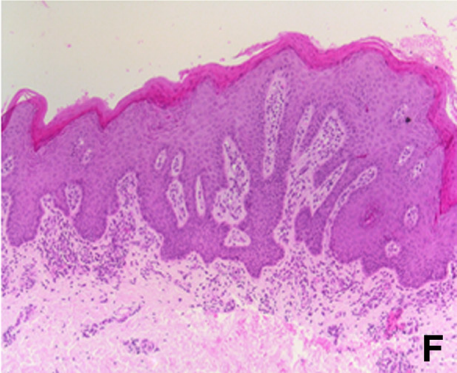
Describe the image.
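This is a section of skin in which the epidermis is greatly thickened and stained deep purple-pink. A dense pink horny layer with an irregular surface covers it. Broad rete ridges extend down into the dermis, separated by narrow pale dermal papillae. The dermis just beneath the epidermis holds scattered small dark round nuclei of infiltrating cells. The deeper dermis is paler pink and fibrous.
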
